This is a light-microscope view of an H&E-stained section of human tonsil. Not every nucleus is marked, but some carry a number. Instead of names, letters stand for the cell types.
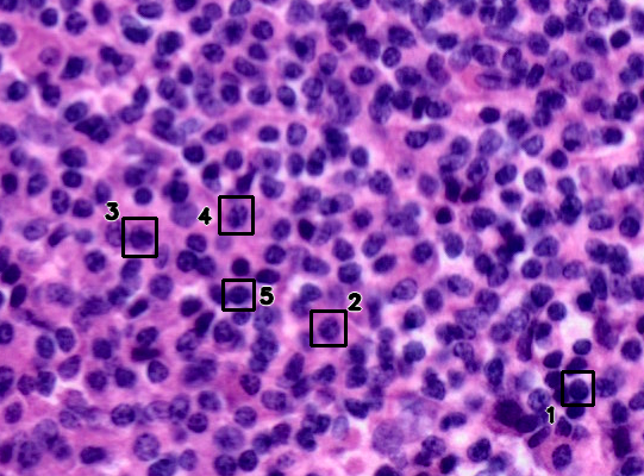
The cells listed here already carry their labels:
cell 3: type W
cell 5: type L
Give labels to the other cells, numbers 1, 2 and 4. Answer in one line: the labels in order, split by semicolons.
type L; type W; type W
